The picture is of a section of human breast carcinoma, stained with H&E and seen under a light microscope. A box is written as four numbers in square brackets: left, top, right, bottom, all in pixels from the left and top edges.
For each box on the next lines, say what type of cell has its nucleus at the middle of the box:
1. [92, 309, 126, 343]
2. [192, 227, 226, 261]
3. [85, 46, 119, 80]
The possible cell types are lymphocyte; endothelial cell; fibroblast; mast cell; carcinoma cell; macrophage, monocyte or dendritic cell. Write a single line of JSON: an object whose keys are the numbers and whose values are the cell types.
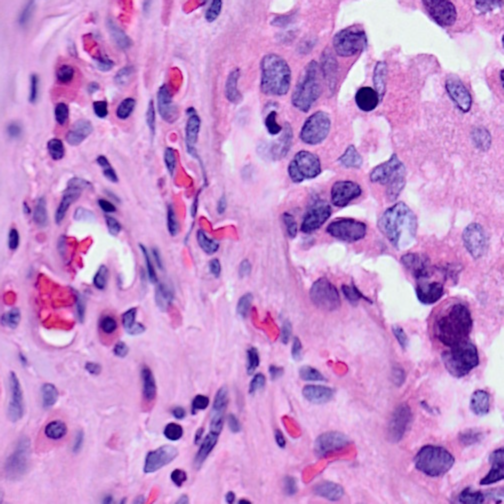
{"1": "mast cell", "2": "endothelial cell", "3": "endothelial cell"}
